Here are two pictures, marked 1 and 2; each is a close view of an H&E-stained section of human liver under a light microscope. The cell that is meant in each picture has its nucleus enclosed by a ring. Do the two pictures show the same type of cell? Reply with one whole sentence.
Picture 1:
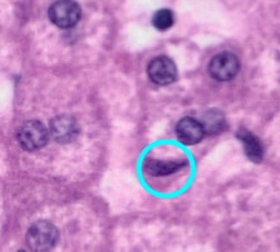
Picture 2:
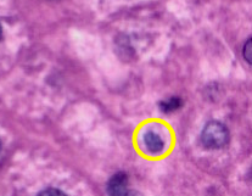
No. Picture 1 shows a “fibroblast or stellate cell”, but picture 2 shows a lymphocyte.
